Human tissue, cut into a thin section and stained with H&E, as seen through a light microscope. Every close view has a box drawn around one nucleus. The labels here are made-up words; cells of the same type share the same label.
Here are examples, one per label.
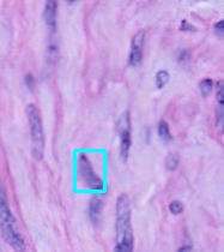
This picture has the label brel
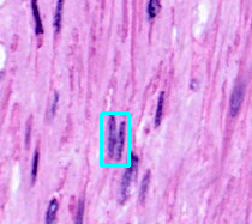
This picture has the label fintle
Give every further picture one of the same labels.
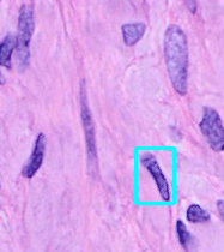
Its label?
fintle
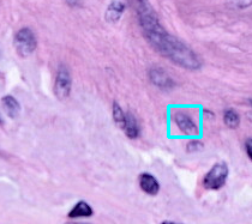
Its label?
brel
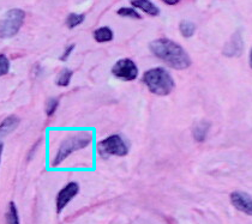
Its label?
fintle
